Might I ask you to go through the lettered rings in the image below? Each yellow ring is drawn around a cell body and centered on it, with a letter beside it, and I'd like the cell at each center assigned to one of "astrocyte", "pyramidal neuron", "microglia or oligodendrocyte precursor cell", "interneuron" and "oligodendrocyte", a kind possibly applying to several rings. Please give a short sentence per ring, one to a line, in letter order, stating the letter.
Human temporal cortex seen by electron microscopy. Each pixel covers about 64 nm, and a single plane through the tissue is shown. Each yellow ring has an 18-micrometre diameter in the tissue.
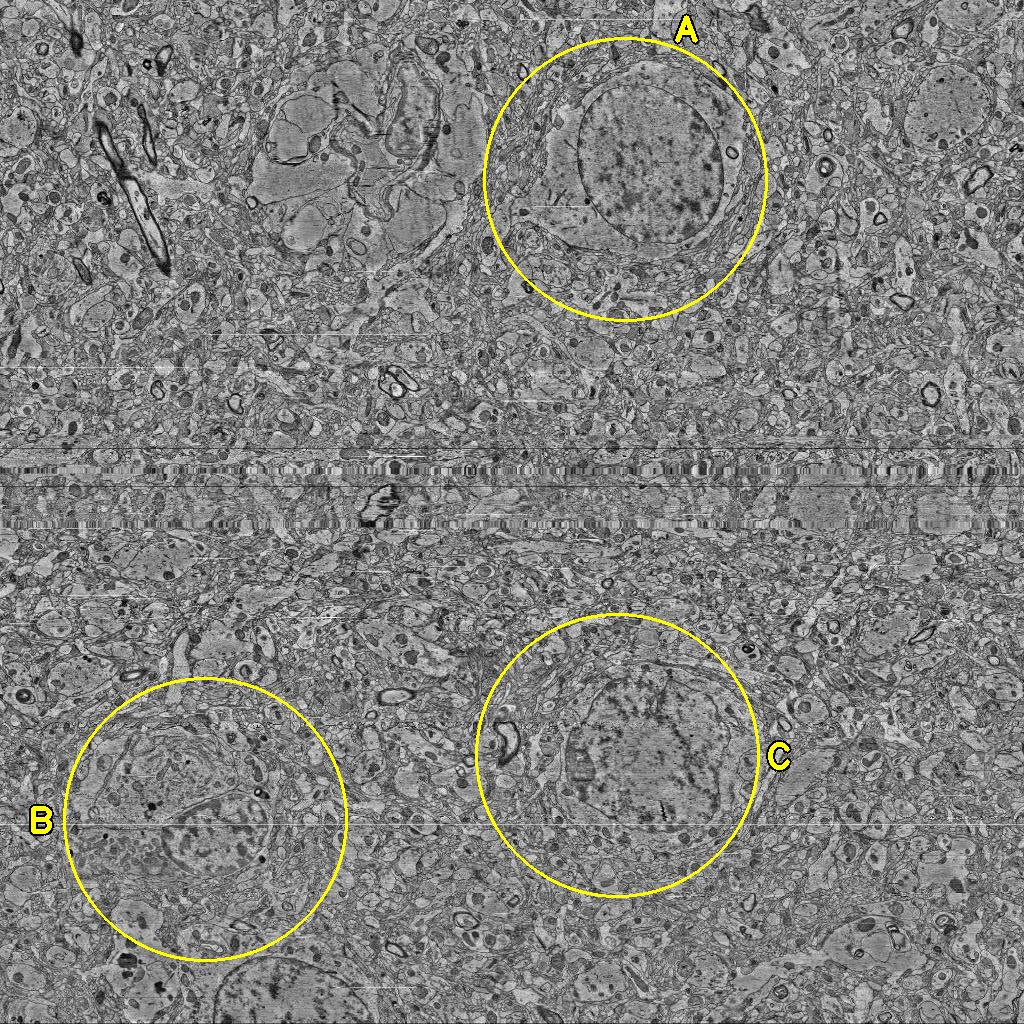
Ring A is centered on the body of an astrocyte.
Ring B is centered on the body of a microglial cell or oligodendrocyte precursor cell.
Ring C is centered on the body of an interneuron.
